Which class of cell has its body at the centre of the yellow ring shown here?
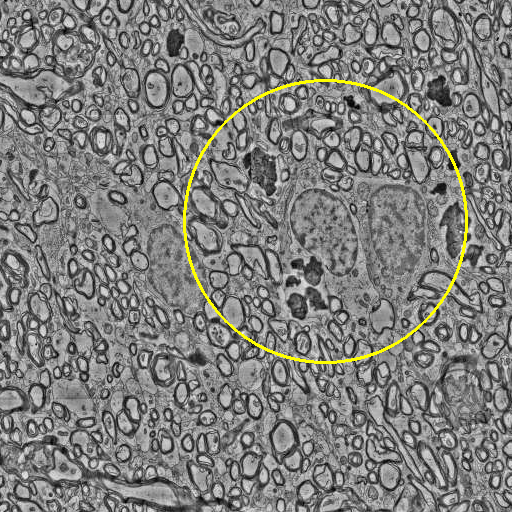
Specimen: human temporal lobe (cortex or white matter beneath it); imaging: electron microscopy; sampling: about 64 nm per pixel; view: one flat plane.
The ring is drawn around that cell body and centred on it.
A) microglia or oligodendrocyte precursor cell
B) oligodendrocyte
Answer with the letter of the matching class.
A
